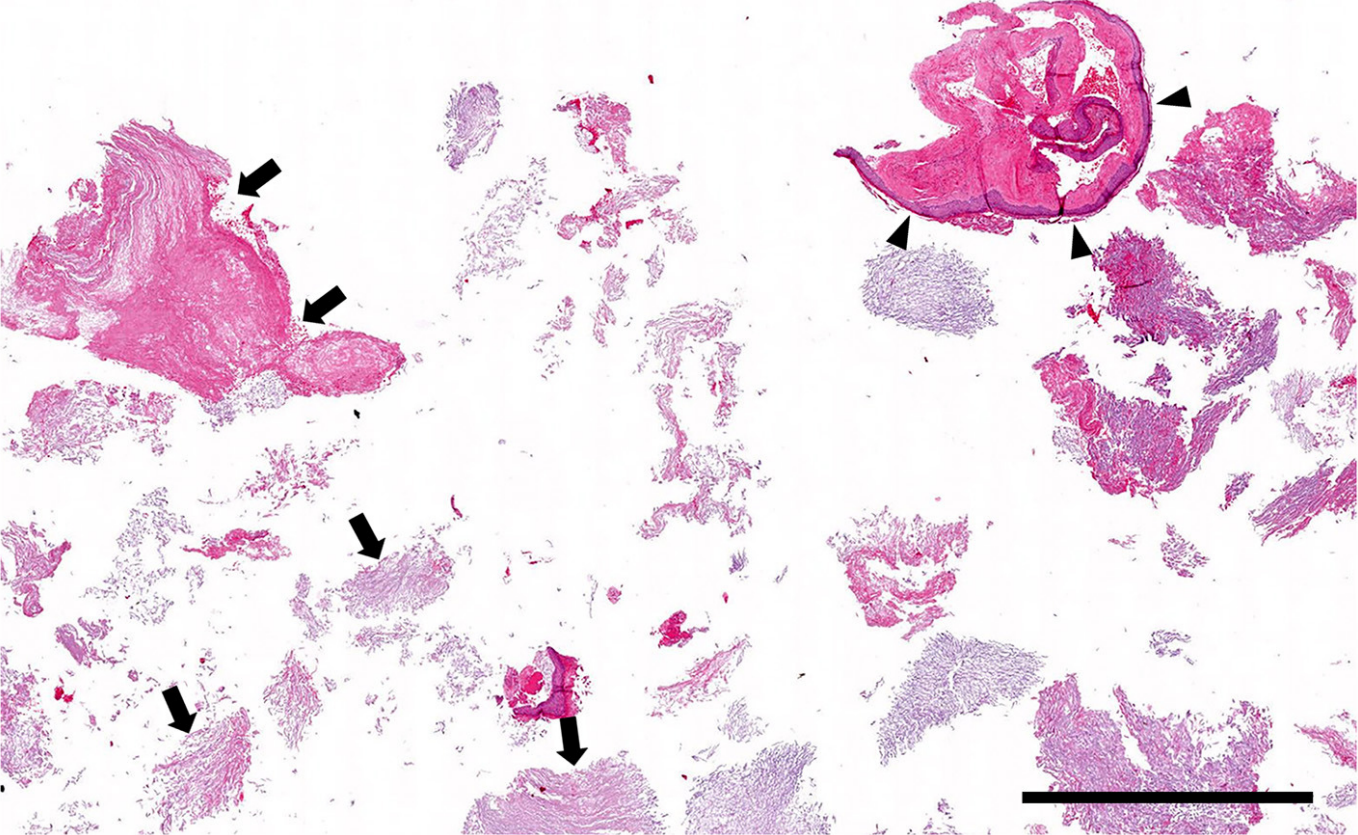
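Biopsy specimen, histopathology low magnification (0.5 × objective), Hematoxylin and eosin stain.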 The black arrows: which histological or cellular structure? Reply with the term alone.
Lamellar keratin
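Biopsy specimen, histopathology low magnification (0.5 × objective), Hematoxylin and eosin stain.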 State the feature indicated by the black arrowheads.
cyst lining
